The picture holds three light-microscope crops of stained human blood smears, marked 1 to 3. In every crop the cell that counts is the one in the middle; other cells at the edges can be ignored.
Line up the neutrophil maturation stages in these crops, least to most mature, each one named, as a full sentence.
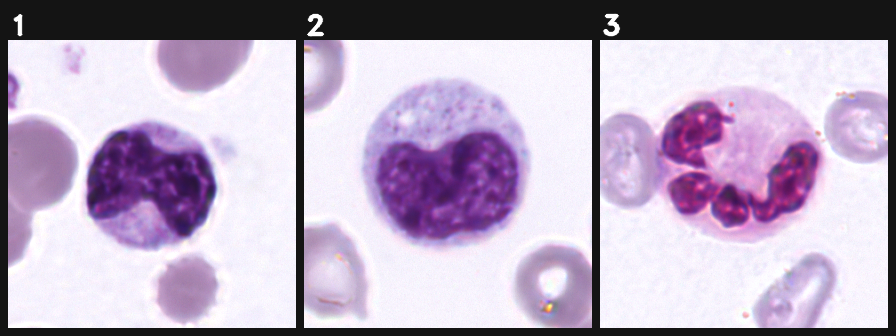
From the earliest stage to the most mature one, the order is crop 2 (a metamyelocyte), crop 1 (a band neutrophil) and crop 3 (a segmented neutrophil).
